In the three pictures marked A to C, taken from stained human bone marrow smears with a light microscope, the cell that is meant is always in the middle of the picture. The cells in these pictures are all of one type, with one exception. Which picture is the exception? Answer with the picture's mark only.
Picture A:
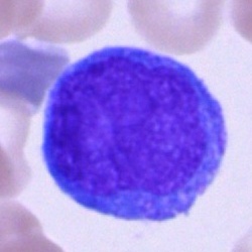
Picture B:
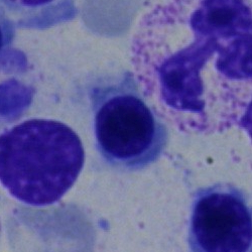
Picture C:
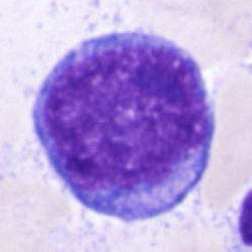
B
